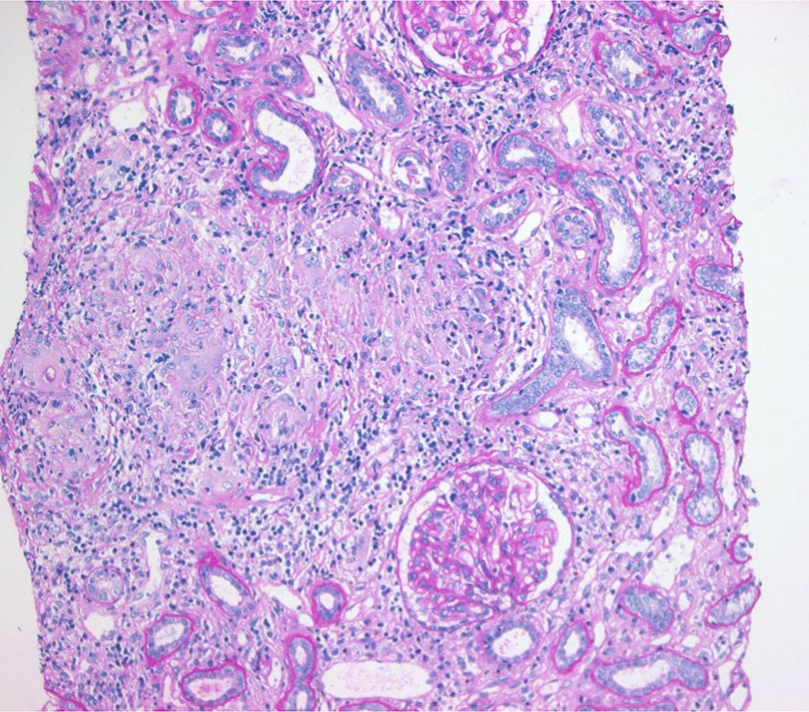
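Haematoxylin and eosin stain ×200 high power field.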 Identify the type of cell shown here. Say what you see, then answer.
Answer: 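Epitheloid histiocytes. A pale pink, ill-defined cluster of cells sits in the left centre of the tissue. The clustered cells have abundant pale cytoplasm and pale oval to elongated nuclei. The cluster is ringed by many small dark round nuclei.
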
